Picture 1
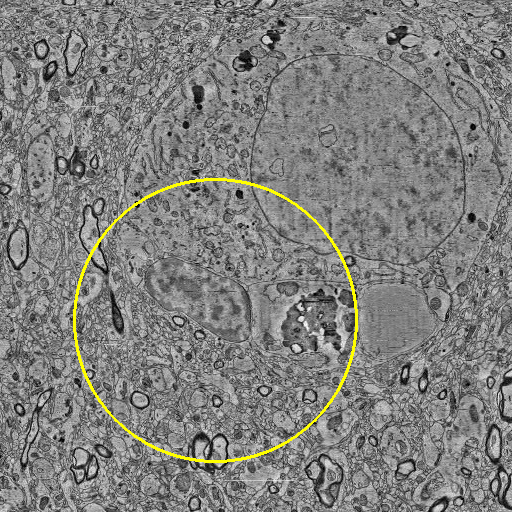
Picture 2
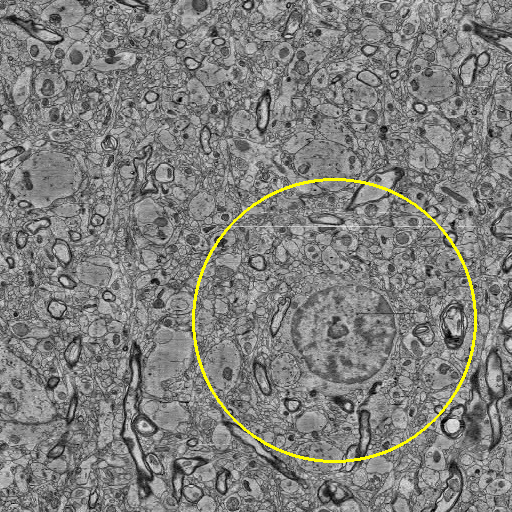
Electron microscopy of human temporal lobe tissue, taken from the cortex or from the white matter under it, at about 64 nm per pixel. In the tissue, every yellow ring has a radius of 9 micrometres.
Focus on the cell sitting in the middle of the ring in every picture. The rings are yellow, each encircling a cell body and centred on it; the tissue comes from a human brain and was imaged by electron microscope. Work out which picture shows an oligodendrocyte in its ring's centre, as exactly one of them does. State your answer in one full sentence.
In picture 2, the ring is centred on the cell in question.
